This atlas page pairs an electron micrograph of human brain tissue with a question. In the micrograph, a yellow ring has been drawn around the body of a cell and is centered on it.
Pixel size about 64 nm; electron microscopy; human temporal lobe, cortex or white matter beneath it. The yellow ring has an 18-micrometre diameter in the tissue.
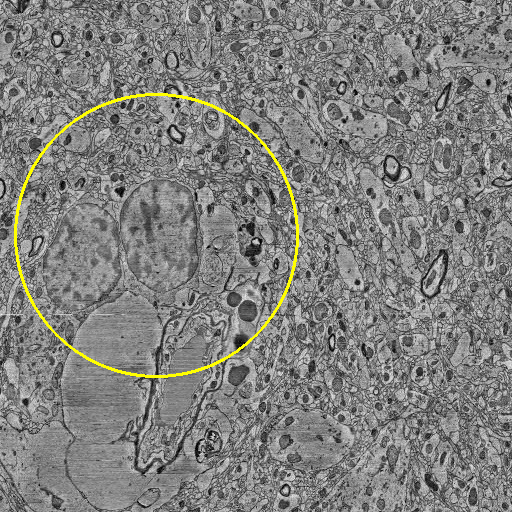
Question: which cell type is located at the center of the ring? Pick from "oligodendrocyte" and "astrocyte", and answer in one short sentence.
Located at the center of the ring is an oligodendrocyte.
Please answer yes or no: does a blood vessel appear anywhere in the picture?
Yes, a blood vessel can be seen.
